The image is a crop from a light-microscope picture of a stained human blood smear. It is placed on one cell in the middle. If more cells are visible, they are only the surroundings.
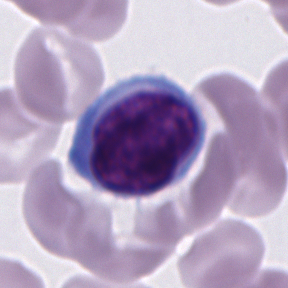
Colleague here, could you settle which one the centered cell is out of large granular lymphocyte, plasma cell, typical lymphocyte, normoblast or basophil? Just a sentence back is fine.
Regarding the central cell, it is a typical lymphocyte.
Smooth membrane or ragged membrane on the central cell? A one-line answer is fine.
Around its whole circumference the outline stays smooth, free of projections.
